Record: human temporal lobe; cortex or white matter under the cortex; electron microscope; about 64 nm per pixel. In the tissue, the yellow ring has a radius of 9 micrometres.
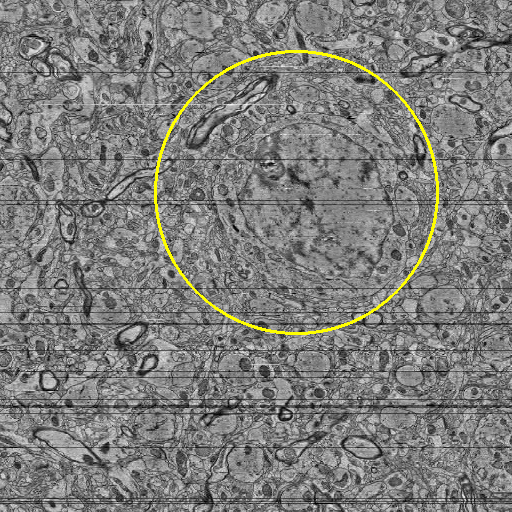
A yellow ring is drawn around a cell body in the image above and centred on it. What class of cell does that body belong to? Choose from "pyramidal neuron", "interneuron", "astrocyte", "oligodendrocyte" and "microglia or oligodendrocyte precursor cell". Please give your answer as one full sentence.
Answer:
The yellow ring above is centred on the cell body of an interneuron.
